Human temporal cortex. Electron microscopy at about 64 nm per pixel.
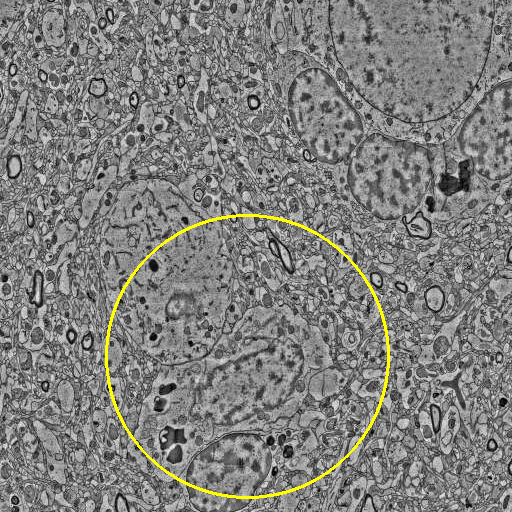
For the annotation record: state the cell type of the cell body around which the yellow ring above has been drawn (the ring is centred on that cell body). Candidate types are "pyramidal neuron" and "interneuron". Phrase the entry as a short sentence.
The ringed cell is an interneuron.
